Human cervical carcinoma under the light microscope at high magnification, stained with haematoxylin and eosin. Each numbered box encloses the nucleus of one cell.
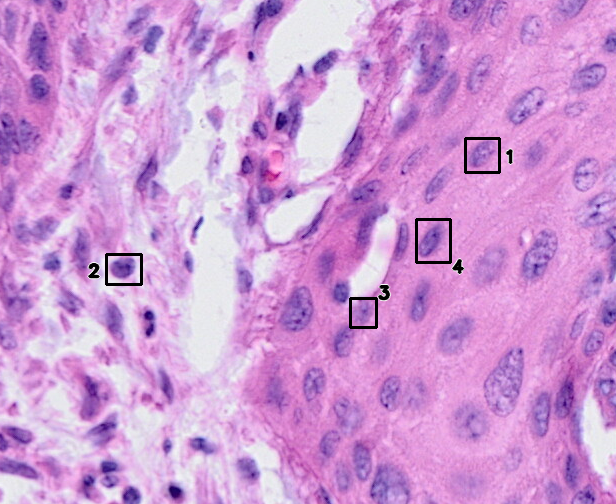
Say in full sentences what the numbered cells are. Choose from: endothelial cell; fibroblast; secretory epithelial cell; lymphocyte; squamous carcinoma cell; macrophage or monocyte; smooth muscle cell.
Cells 1, 3 and 4 are squamous carcinoma cells. Cell 2 is a lymphocyte.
